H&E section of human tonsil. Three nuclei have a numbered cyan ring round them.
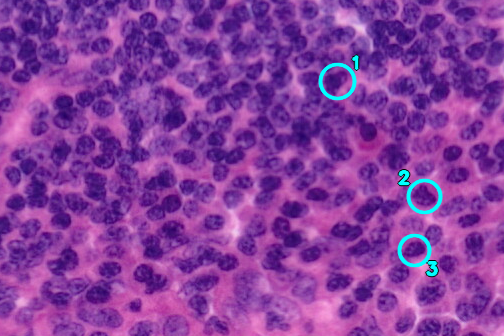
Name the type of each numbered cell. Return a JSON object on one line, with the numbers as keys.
{"1": "small lymphocyte", "2": "plasma cell", "3": "plasma cell"}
